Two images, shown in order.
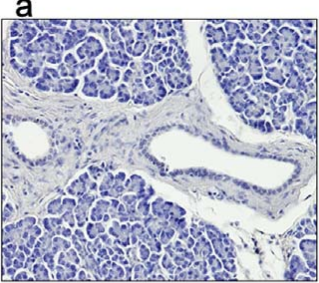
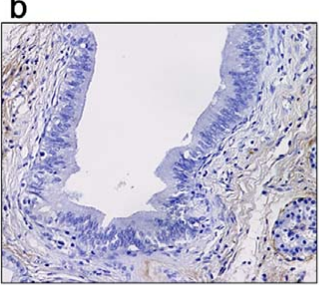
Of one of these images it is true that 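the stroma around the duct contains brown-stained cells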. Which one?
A: the second image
